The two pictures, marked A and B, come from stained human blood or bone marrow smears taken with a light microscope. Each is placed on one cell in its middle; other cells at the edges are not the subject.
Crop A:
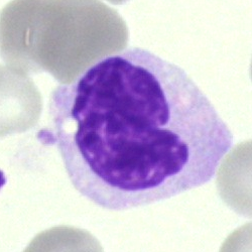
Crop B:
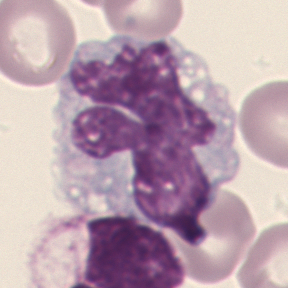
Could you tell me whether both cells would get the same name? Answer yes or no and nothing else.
no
